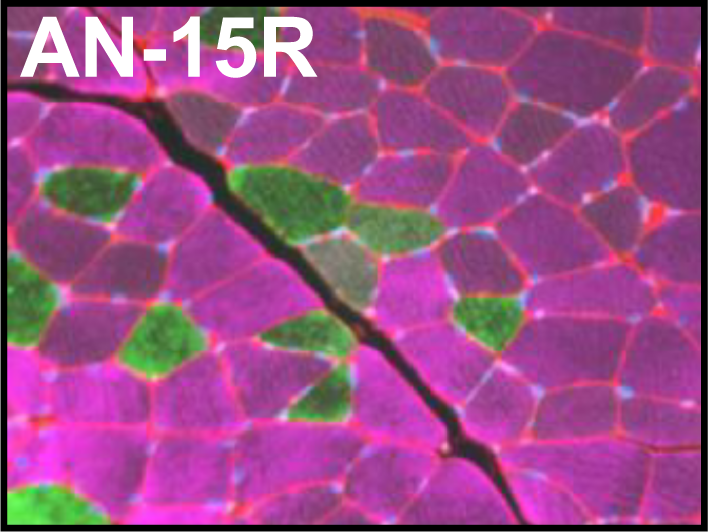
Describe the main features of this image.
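A transverse section of muscle fibers, seen as tightly packed polygonal profiles each rimmed by a thin red border. Most fibers are pink, and a smaller number, grouped mainly in the left and middle of the field, are green. Small bright bluish-white dots lie at the edges of the fibers along their borders. A dark, branching cleft runs diagonally across the section, separating groups of fibers, likely a connective tissue septum or a tear in the section. The fibers are of varied but generally similar size, giving the usual mosaic of two fiber colours in cross section.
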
